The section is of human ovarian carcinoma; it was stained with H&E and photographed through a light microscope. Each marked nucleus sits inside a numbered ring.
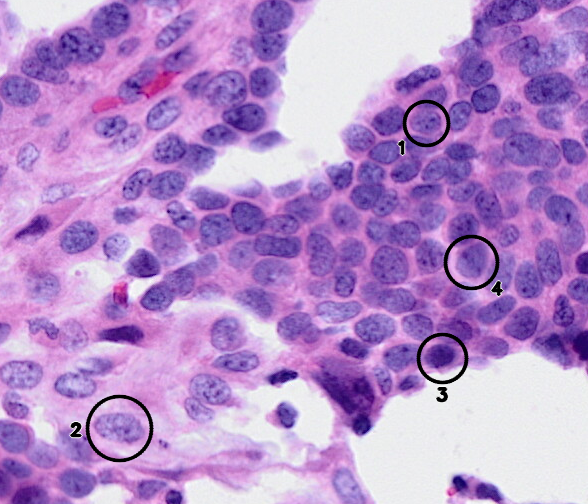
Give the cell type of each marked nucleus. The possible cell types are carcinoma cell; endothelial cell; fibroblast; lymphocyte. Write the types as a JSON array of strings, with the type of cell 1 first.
["carcinoma cell", "fibroblast", "carcinoma cell", "carcinoma cell"]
